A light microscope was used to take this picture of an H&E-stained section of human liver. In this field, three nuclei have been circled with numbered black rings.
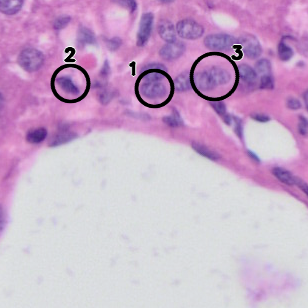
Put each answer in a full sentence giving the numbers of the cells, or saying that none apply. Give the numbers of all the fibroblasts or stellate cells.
No marked cell except number 2 is a fibroblast or stellate cell.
